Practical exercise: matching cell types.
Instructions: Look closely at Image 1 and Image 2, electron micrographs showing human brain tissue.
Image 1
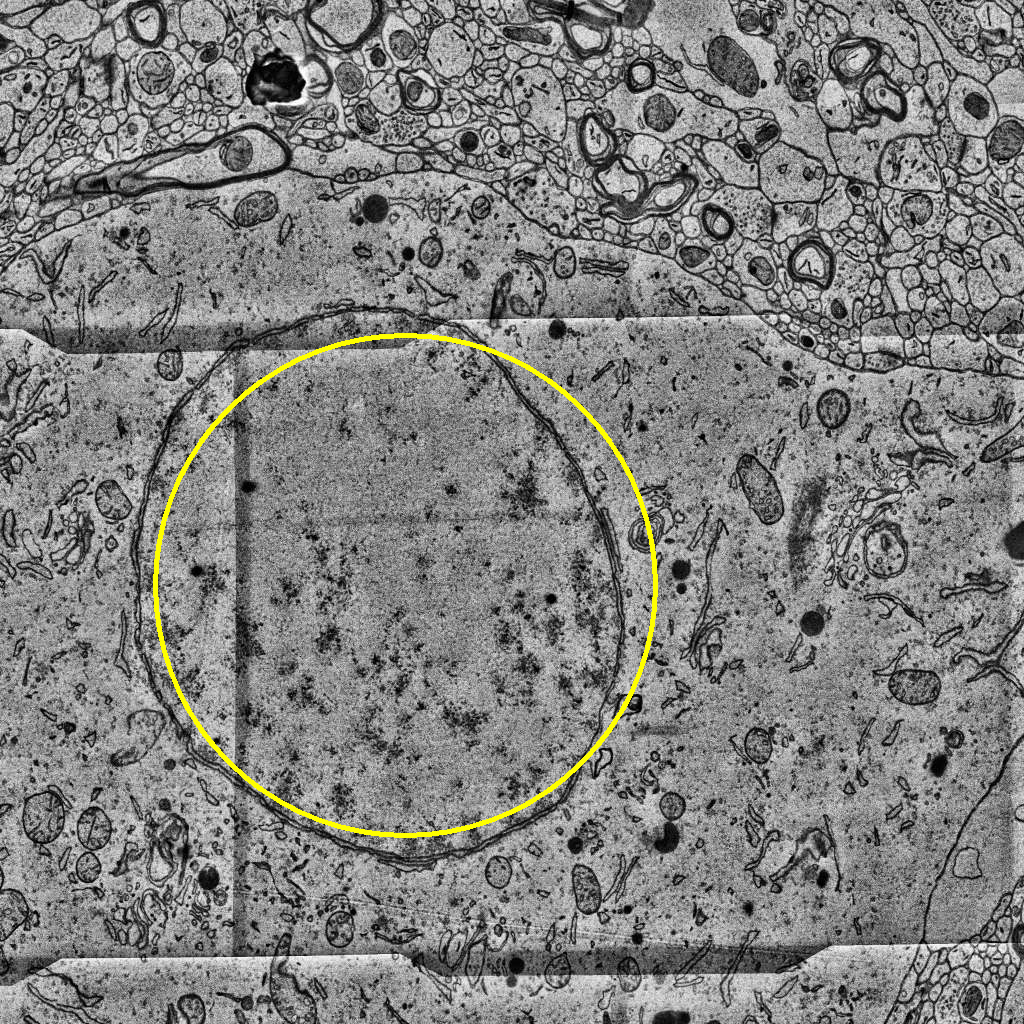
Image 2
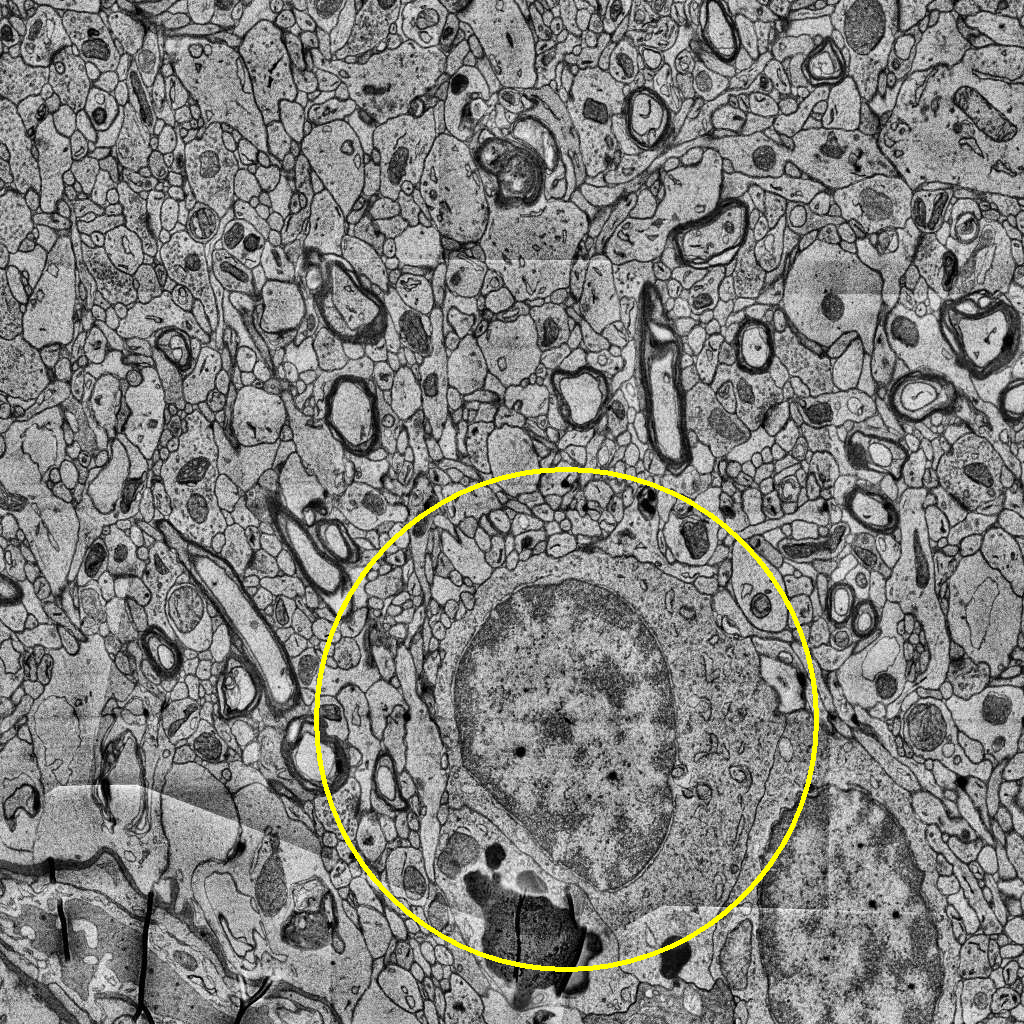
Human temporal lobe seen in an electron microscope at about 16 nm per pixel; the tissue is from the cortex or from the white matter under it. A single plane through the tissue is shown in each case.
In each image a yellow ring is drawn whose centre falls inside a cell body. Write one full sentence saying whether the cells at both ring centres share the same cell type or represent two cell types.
Across Image 1 and Image 2, the cells at the ring centres represent two cell types.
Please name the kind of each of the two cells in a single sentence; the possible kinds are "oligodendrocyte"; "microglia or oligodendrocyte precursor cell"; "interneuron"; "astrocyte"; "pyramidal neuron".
The first is a pyramidal neuron and the second is an oligodendrocyte.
